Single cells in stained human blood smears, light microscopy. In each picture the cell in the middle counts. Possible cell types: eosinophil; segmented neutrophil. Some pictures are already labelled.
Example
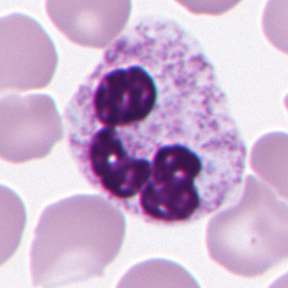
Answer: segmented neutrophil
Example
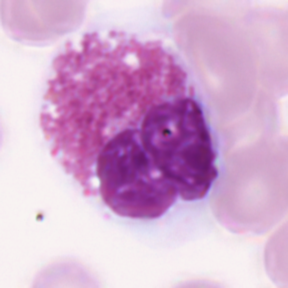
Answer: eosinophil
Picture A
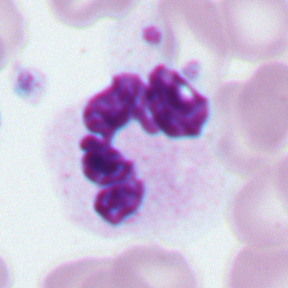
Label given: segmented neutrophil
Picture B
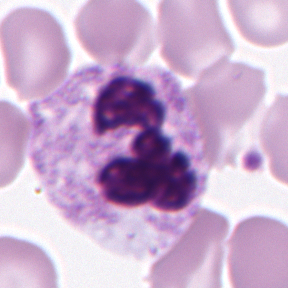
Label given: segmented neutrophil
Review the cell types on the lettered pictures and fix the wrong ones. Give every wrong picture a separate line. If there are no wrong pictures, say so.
None of the labels needs changing.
